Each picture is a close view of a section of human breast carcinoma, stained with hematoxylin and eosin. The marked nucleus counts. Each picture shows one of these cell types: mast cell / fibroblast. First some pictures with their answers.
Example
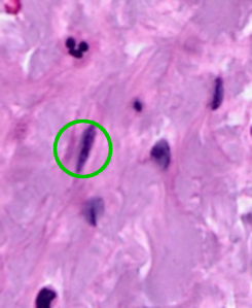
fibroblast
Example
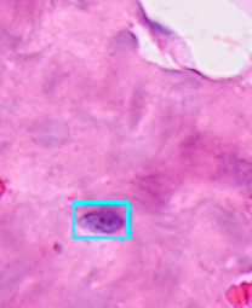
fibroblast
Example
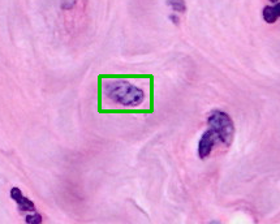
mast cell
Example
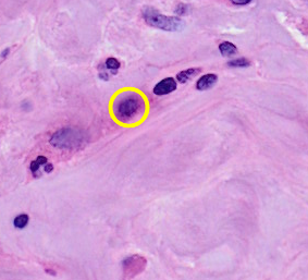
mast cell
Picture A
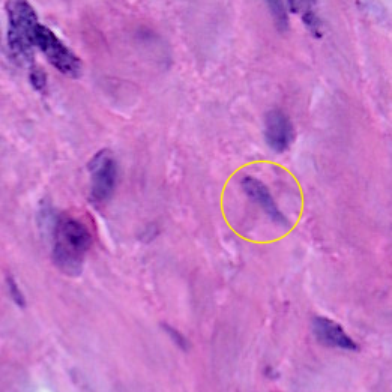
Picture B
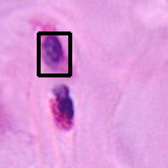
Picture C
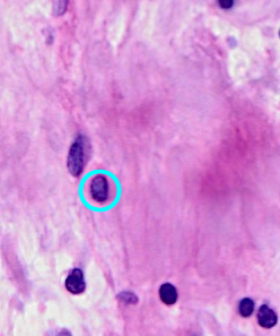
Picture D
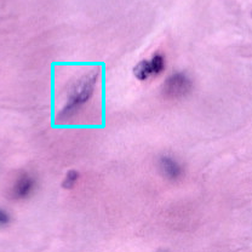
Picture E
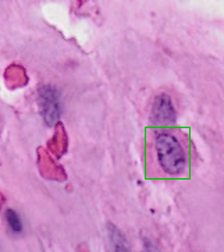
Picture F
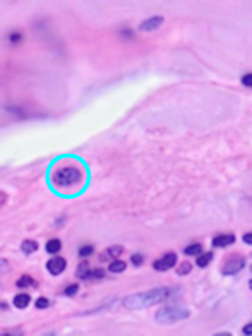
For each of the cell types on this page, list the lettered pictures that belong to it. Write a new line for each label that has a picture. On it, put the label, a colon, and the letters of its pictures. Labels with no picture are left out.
mast cell: B, C, E, F
fibroblast: A, D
